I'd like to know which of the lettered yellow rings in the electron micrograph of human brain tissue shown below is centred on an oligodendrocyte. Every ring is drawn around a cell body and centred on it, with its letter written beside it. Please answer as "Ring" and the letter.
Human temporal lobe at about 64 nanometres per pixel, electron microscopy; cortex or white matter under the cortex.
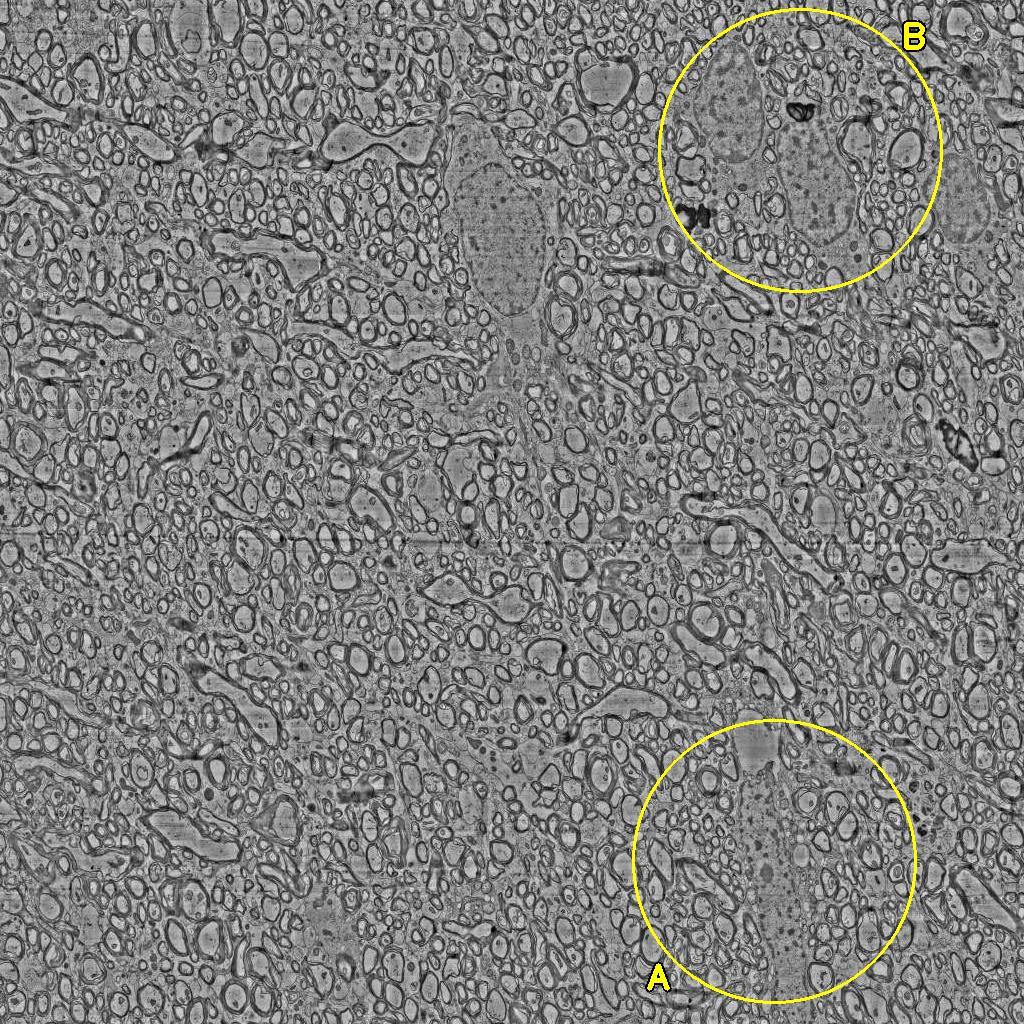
Ring B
